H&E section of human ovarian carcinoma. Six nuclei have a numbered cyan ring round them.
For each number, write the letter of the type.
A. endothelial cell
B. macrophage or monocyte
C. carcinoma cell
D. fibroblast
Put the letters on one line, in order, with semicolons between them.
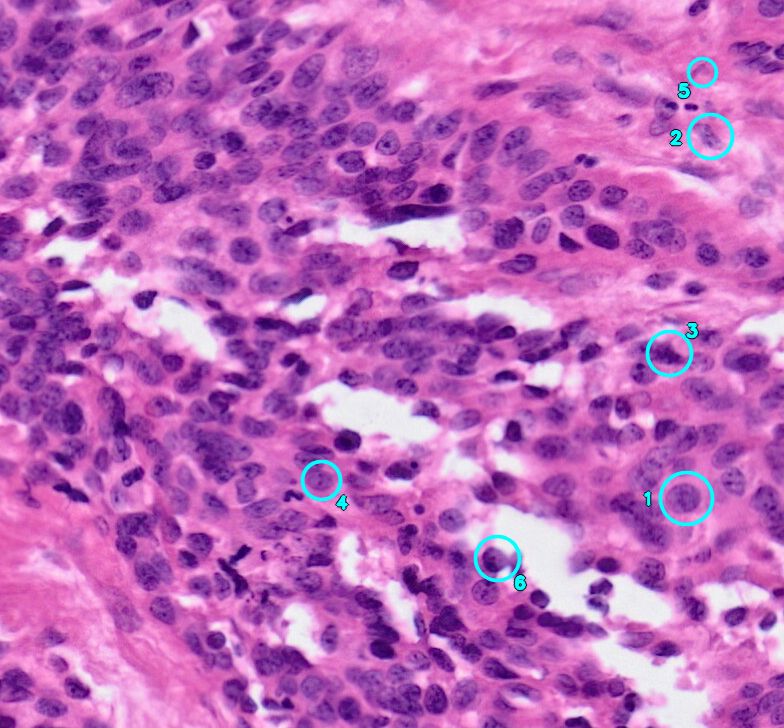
C; D; C; C; D; C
